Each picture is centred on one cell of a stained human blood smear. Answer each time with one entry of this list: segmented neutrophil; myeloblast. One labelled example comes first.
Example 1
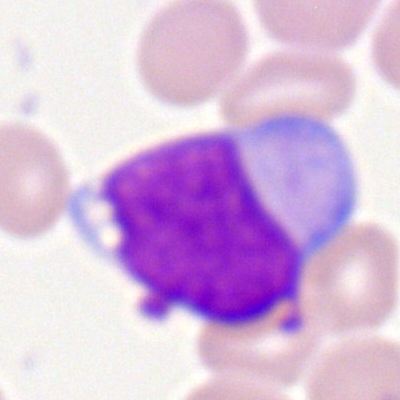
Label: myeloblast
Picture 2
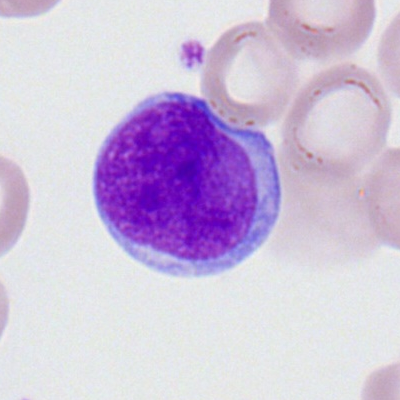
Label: myeloblast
